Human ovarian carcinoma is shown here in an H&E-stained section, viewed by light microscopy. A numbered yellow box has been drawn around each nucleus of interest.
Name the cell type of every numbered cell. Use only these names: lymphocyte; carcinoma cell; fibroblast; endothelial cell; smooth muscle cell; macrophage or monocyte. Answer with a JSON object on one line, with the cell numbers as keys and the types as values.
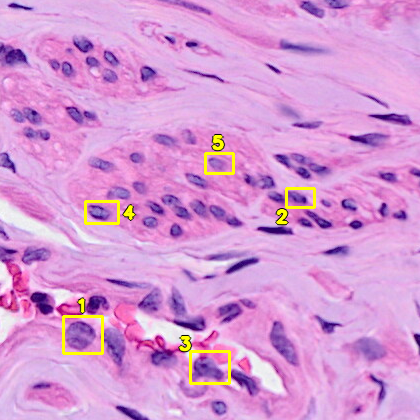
{"1": "endothelial cell", "2": "smooth muscle cell", "3": "endothelial cell", "4": "smooth muscle cell", "5": "smooth muscle cell"}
